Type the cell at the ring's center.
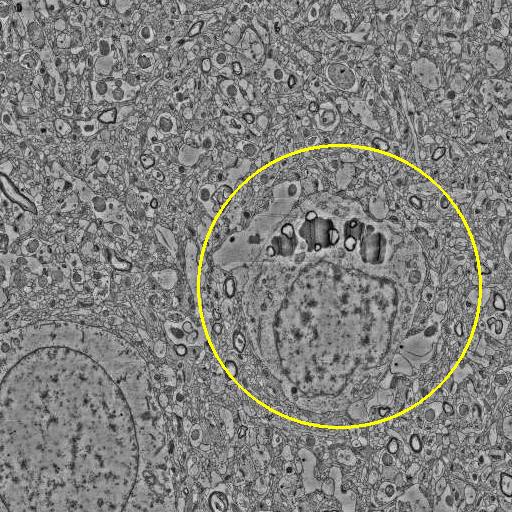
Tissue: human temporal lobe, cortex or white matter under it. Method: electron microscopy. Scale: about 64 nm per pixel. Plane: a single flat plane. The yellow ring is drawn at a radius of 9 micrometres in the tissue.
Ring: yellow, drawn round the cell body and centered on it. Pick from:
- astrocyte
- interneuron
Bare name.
interneuron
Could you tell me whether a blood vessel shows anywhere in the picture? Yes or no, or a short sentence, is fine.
No.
